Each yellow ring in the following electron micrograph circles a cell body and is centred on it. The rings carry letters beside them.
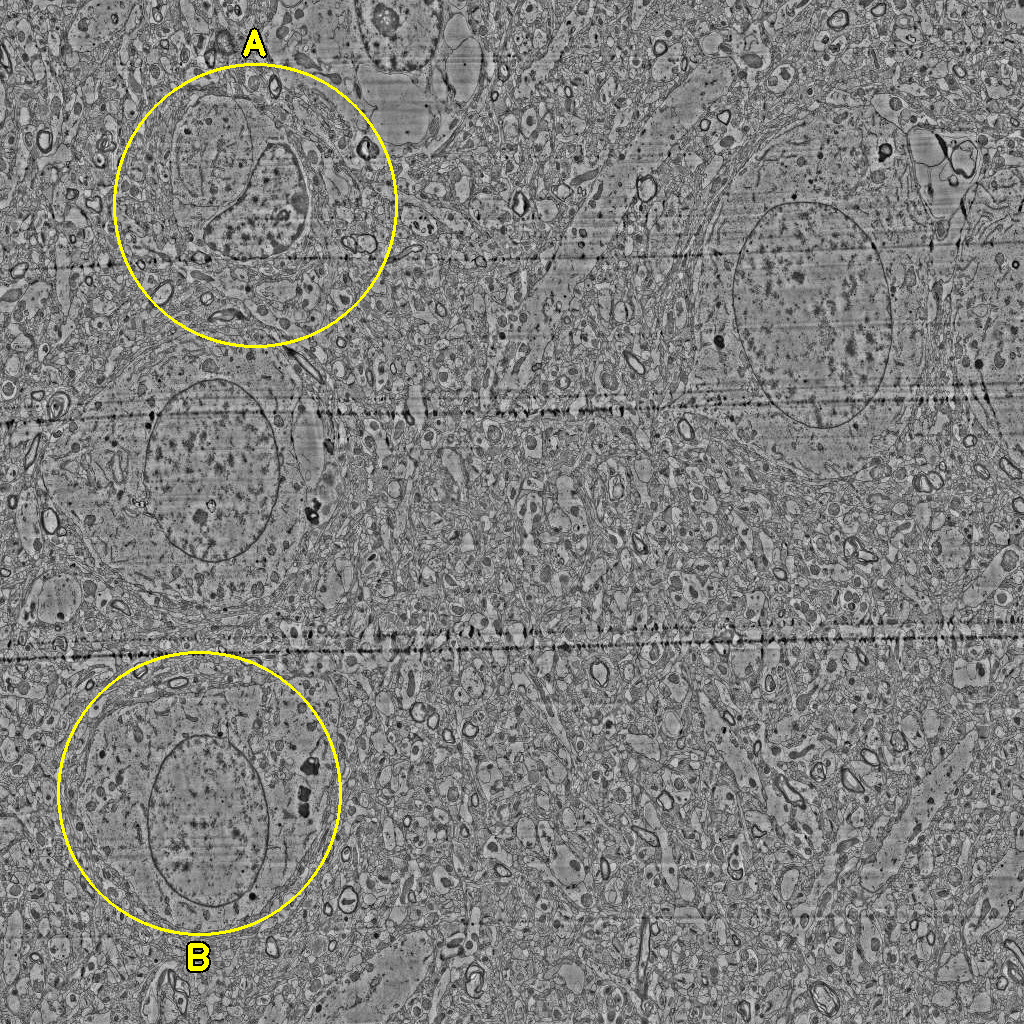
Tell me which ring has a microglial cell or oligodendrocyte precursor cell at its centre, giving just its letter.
A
